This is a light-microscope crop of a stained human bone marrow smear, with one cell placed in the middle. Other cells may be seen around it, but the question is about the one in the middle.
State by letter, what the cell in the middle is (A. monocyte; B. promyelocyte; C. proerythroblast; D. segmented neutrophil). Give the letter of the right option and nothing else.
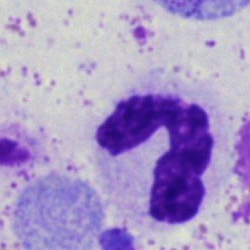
D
